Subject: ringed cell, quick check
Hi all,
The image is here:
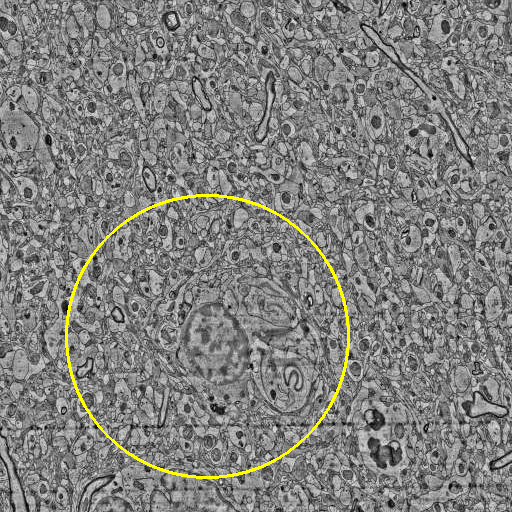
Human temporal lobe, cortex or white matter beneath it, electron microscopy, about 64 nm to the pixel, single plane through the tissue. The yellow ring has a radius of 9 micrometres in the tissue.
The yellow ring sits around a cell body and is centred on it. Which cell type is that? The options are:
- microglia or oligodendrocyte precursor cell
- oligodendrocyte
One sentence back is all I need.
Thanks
That ringed cell is an oligodendrocyte.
